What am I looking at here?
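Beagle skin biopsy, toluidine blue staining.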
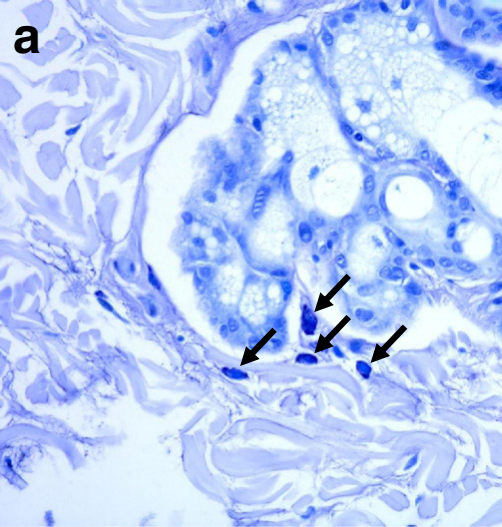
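This is dermis with lobules of sebaceous gland-like cells and a few intensely stained mast cells beside them. The lobules are made of large, pale cells whose cytoplasm is filled with clear vacuoles, giving a foamy look, with small central nuclei. A rim of smaller, darker blue cells borders the lobules. Around them lies loose connective tissue of pale blue wavy fibres. At the lower edge of one lobule, a small group of compact cells stains deep dark blue to purple. They stand out sharply against the pale surrounding tissue.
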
